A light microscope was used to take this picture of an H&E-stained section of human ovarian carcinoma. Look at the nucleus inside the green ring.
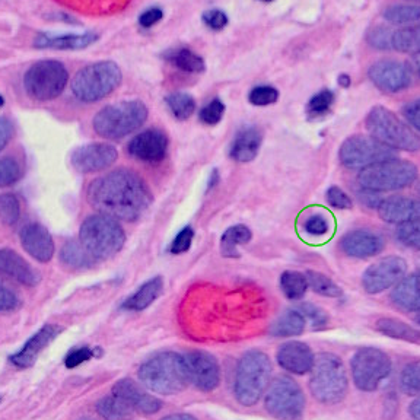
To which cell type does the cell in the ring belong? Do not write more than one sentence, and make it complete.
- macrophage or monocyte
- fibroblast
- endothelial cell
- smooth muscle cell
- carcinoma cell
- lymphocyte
Cell type answer for this item: the cell in the ring is a lymphocyte.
